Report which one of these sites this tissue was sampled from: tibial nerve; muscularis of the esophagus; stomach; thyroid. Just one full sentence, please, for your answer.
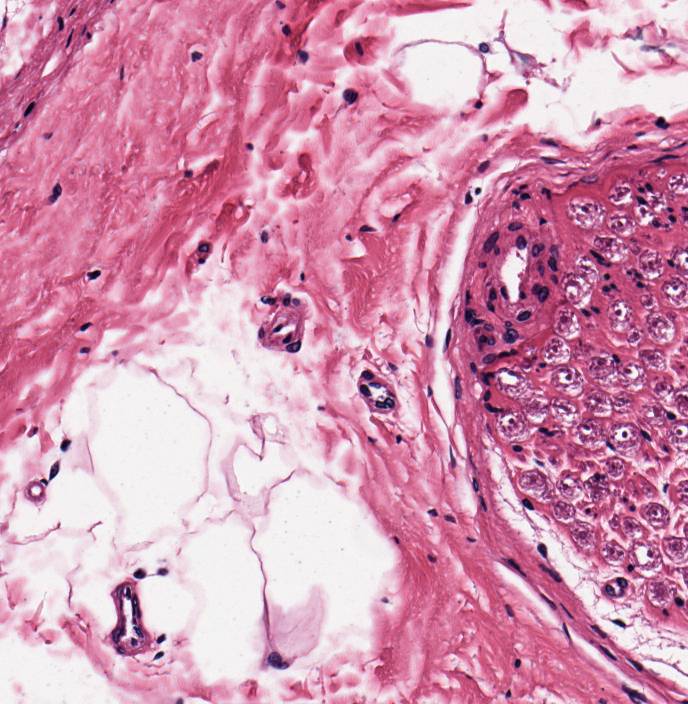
Tissue of the tibial nerve was sampled to make this section.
